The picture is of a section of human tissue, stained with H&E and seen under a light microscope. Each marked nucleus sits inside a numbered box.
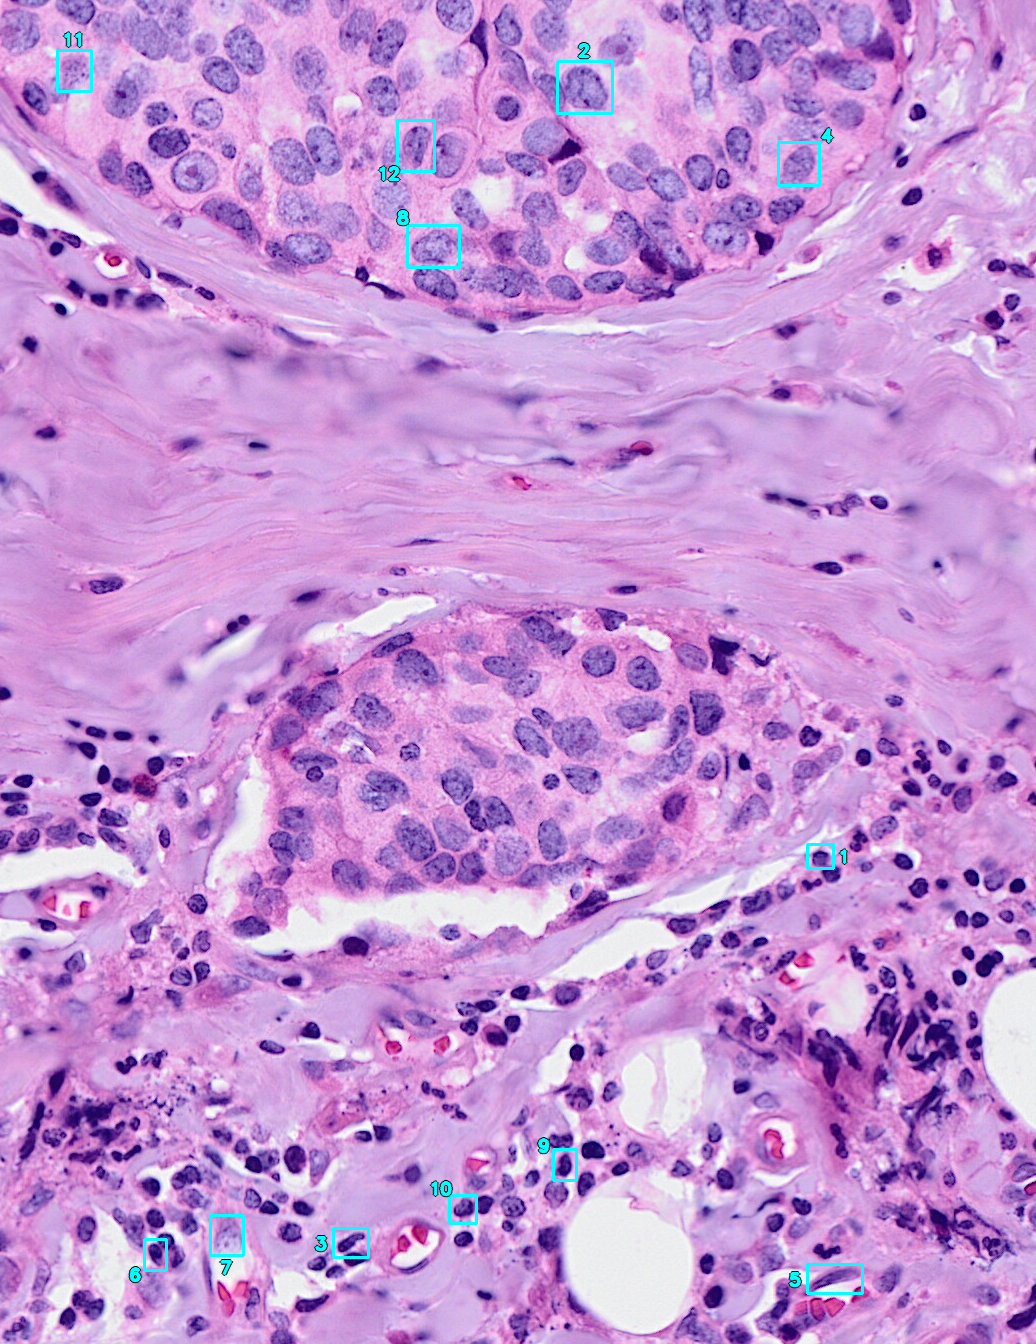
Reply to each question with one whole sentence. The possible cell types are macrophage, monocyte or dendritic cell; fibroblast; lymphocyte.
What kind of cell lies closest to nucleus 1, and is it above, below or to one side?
The closest nucleus belongs to a lymphocyte and sits below and to the right of nucleus 1.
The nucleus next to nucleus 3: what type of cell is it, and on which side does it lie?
A lymphocyte lies closest, below nucleus 3.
